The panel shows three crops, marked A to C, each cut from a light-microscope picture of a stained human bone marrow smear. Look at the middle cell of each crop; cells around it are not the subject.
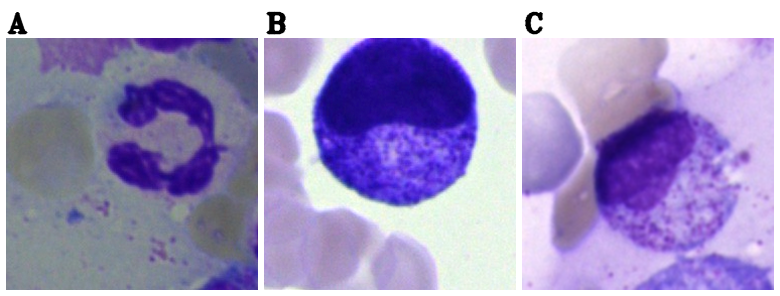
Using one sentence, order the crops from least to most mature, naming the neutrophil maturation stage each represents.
The arrangement from least to most mature is crop B (a promyelocyte), crop C (a metamyelocyte) and crop A (a segmented neutrophil).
